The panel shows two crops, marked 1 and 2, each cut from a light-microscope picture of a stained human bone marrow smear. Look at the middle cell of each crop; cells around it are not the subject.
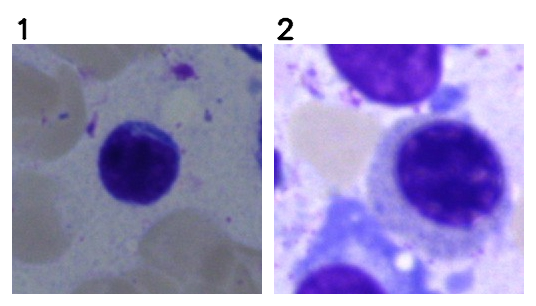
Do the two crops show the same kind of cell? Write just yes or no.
no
